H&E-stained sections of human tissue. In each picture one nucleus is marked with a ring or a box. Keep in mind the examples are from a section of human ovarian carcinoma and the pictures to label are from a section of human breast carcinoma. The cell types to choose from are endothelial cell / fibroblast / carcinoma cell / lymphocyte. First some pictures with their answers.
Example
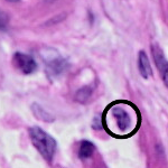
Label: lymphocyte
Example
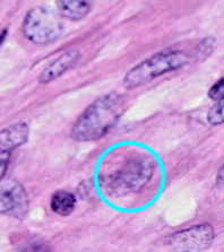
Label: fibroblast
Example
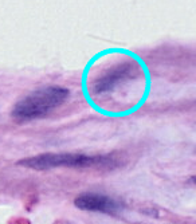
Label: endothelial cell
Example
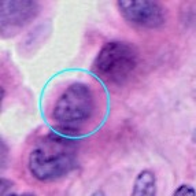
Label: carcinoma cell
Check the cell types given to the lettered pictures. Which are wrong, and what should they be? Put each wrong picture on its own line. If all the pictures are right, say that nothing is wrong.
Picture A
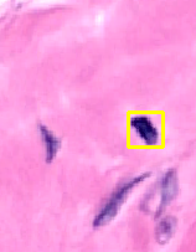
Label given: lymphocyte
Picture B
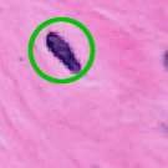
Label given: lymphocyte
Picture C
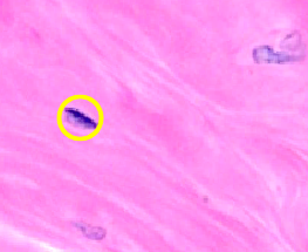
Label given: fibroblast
No label is wrong.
